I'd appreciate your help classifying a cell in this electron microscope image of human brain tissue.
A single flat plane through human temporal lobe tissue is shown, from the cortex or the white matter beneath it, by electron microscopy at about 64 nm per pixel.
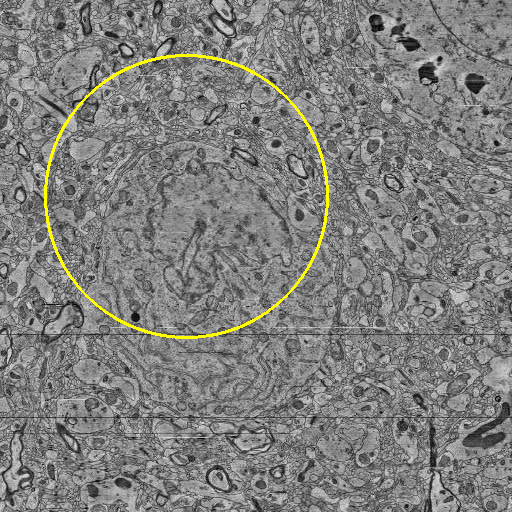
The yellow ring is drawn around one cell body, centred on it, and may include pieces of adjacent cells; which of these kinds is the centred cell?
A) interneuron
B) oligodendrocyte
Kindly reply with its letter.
A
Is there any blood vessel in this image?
No, none shows.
